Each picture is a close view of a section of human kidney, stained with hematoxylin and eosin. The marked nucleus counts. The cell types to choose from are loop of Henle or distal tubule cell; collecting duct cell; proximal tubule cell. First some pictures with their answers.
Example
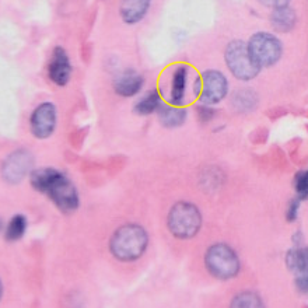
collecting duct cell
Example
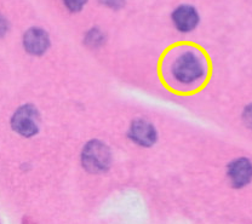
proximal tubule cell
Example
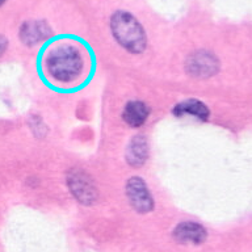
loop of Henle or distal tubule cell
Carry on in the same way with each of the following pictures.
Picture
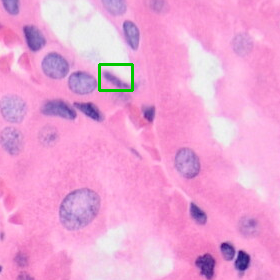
collecting duct cell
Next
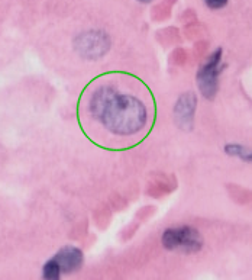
proximal tubule cell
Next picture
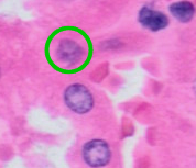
proximal tubule cell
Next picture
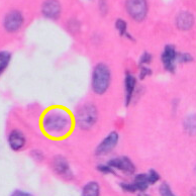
loop of Henle or distal tubule cell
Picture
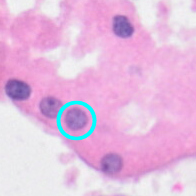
proximal tubule cell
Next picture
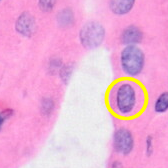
loop of Henle or distal tubule cell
